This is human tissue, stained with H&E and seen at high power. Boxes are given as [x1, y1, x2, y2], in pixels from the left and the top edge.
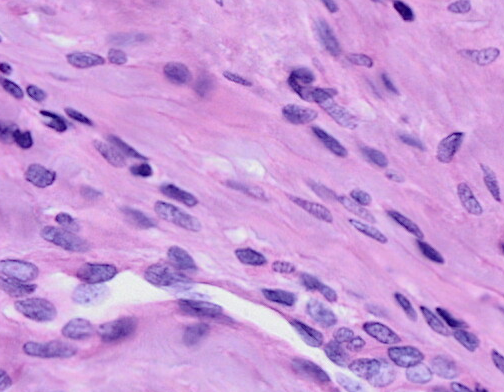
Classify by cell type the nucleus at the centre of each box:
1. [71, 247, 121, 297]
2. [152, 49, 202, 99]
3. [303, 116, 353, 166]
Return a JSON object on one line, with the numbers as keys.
{"1": "endothelial cell", "2": "fibroblast", "3": "fibroblast"}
